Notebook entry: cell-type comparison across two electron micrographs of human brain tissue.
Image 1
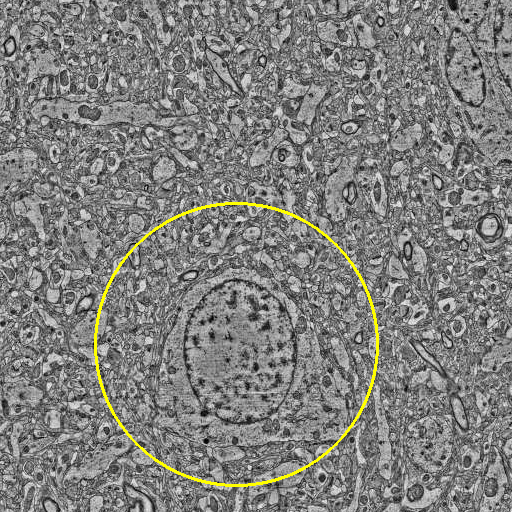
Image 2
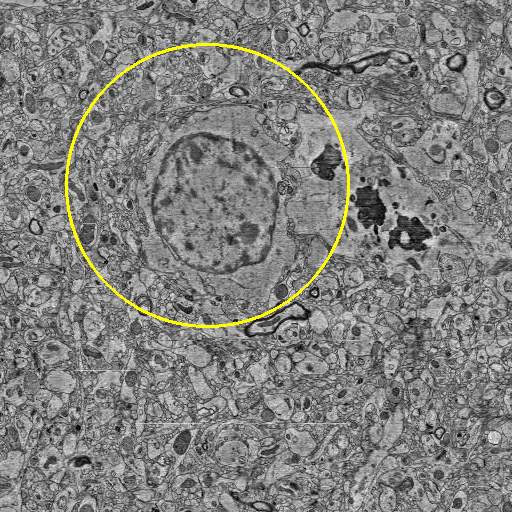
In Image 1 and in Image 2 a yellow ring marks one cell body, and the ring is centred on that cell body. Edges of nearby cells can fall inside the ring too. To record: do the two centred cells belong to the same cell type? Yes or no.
no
